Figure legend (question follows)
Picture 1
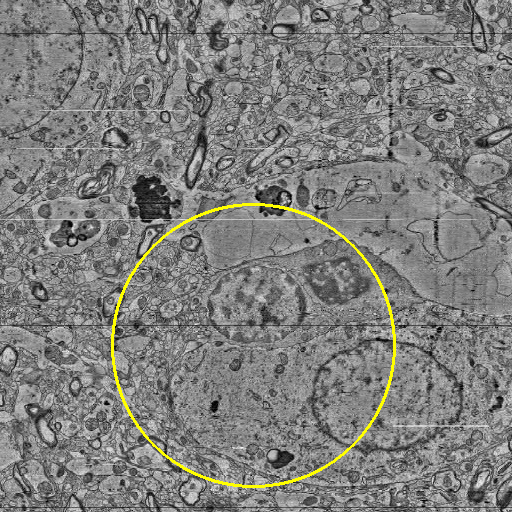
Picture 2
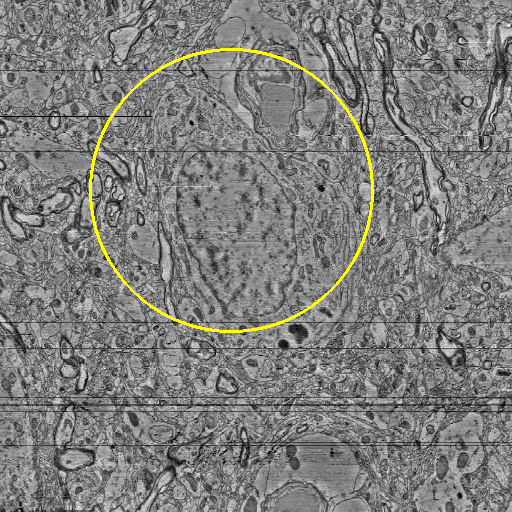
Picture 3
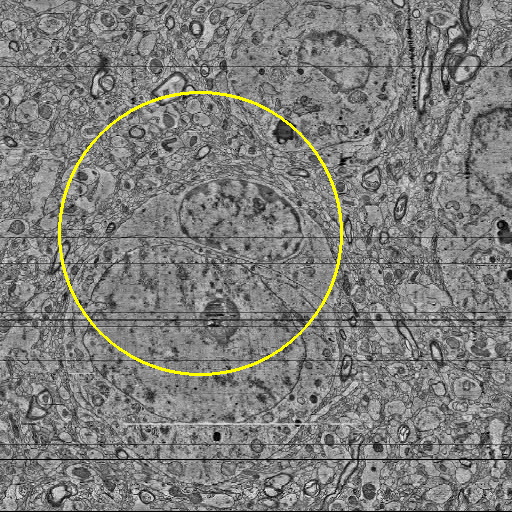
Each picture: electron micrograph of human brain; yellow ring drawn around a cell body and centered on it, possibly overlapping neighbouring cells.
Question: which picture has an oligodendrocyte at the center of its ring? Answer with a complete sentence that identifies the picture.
Picture 1 has it at the center of its ring.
